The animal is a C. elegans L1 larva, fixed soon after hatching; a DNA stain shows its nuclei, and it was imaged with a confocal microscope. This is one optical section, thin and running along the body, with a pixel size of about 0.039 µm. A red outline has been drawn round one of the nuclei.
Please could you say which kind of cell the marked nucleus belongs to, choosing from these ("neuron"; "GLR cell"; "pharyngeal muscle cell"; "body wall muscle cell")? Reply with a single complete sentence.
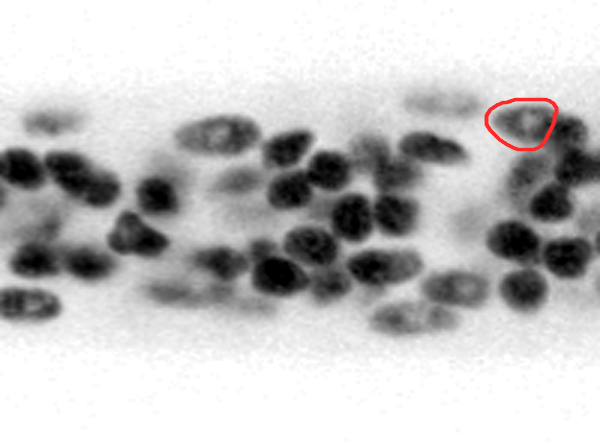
This nucleus is from a body wall muscle cell.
